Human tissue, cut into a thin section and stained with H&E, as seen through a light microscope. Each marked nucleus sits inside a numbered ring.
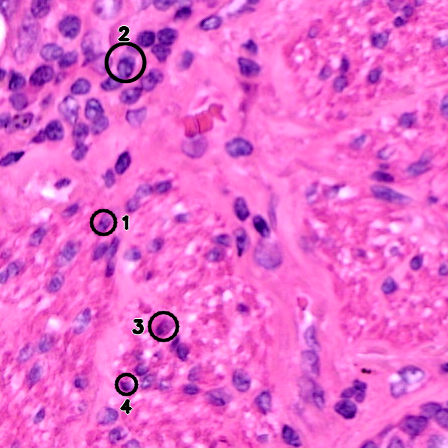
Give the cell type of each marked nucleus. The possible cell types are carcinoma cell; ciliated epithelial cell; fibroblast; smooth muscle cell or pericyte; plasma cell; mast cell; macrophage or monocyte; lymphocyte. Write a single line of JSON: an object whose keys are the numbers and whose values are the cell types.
{"1": "smooth muscle cell or pericyte", "2": "lymphocyte", "3": "smooth muscle cell or pericyte", "4": "smooth muscle cell or pericyte"}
